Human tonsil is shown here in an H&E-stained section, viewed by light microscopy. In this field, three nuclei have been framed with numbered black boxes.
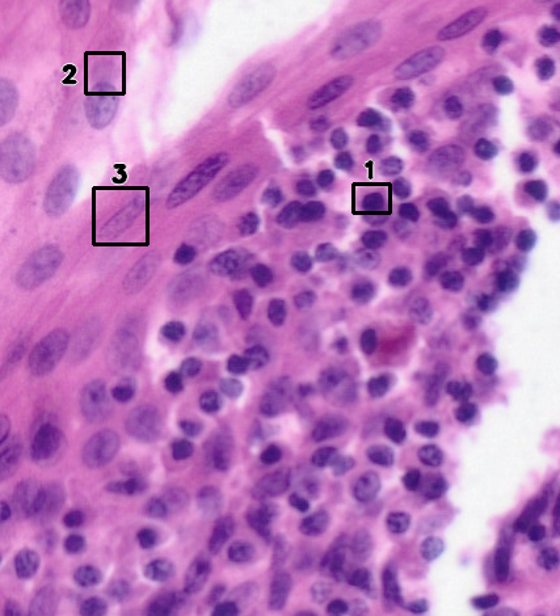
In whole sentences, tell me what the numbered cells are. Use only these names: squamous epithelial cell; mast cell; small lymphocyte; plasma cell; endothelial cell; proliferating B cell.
Cell 1 is a plasma cell. Cells 2 and 3 are squamous epithelial cells.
